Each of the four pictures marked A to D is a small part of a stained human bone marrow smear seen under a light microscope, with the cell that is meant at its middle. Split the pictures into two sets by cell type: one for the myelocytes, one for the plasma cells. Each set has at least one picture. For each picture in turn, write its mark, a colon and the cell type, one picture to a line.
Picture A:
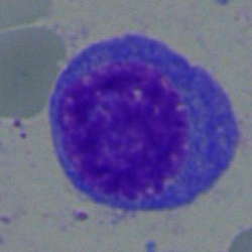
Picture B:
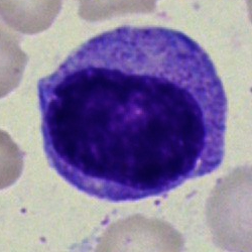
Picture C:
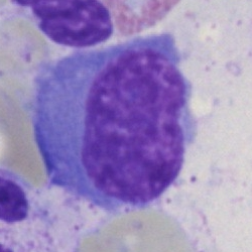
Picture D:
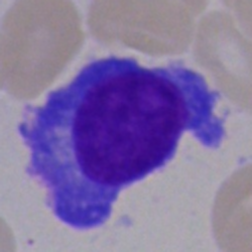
A: plasma cell
B: myelocyte
C: plasma cell
D: plasma cell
